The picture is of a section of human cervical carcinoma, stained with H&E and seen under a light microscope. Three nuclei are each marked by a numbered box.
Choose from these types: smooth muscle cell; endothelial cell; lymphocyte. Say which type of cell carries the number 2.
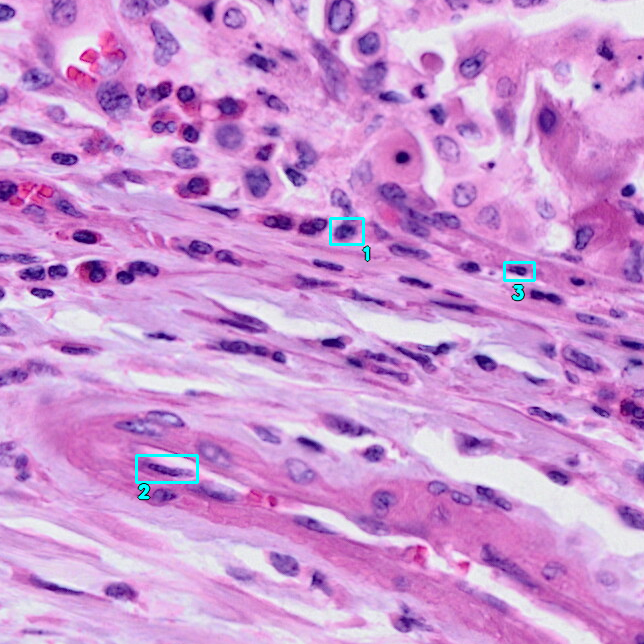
endothelial cell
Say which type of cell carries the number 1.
lymphocyte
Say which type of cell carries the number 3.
lymphocyte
